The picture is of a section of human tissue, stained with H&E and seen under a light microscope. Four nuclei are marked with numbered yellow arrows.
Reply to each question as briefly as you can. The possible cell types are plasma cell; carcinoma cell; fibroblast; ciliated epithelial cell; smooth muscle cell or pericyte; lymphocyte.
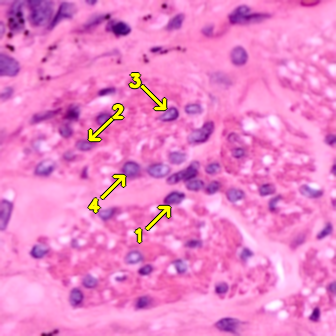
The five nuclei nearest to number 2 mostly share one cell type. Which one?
smooth muscle cell or pericyte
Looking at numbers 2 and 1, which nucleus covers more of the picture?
1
